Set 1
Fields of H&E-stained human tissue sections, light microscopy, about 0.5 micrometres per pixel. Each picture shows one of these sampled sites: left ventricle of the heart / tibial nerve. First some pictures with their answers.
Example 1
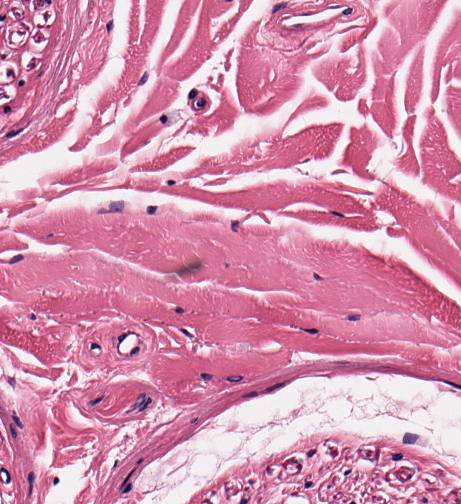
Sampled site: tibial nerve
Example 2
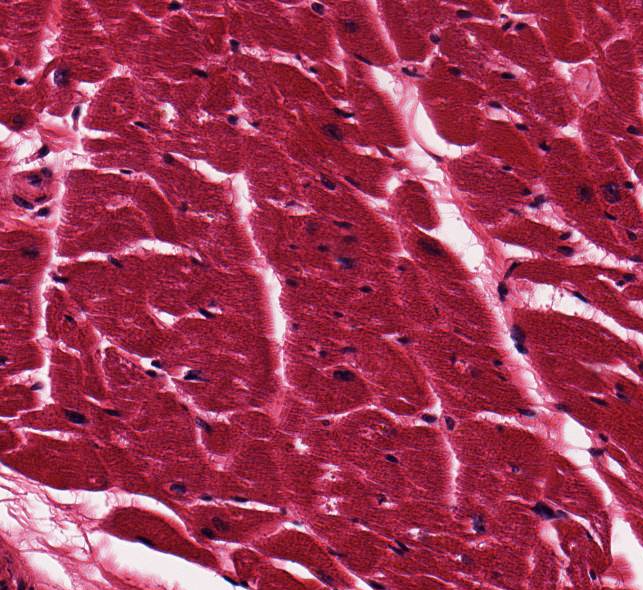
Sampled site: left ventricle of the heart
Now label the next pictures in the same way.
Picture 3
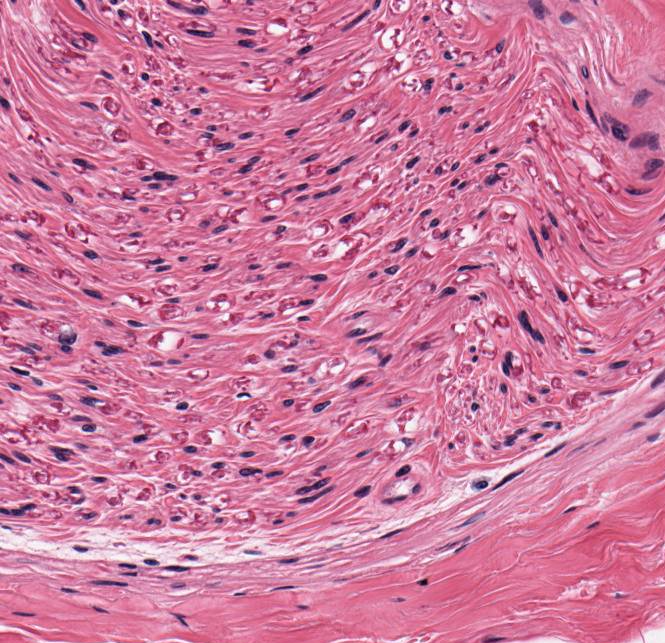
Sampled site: tibial nerve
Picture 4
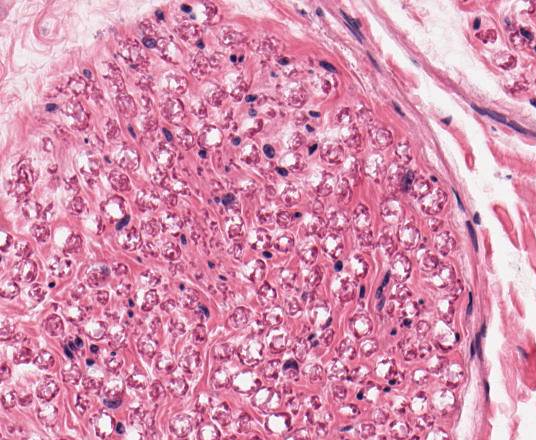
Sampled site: tibial nerve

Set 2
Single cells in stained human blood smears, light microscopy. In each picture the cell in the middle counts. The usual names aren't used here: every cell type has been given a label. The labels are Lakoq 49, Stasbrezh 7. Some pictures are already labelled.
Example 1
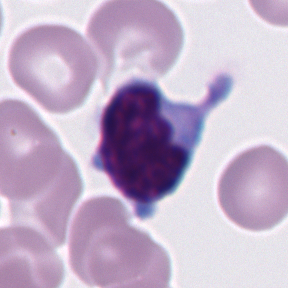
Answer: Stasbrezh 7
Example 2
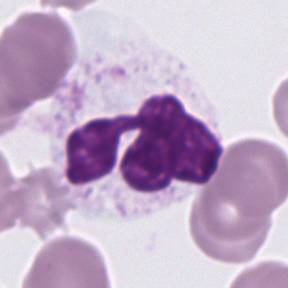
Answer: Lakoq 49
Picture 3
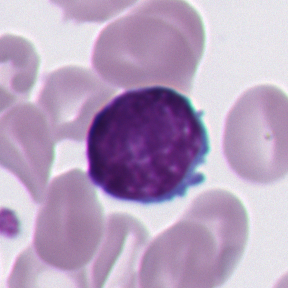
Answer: Stasbrezh 7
